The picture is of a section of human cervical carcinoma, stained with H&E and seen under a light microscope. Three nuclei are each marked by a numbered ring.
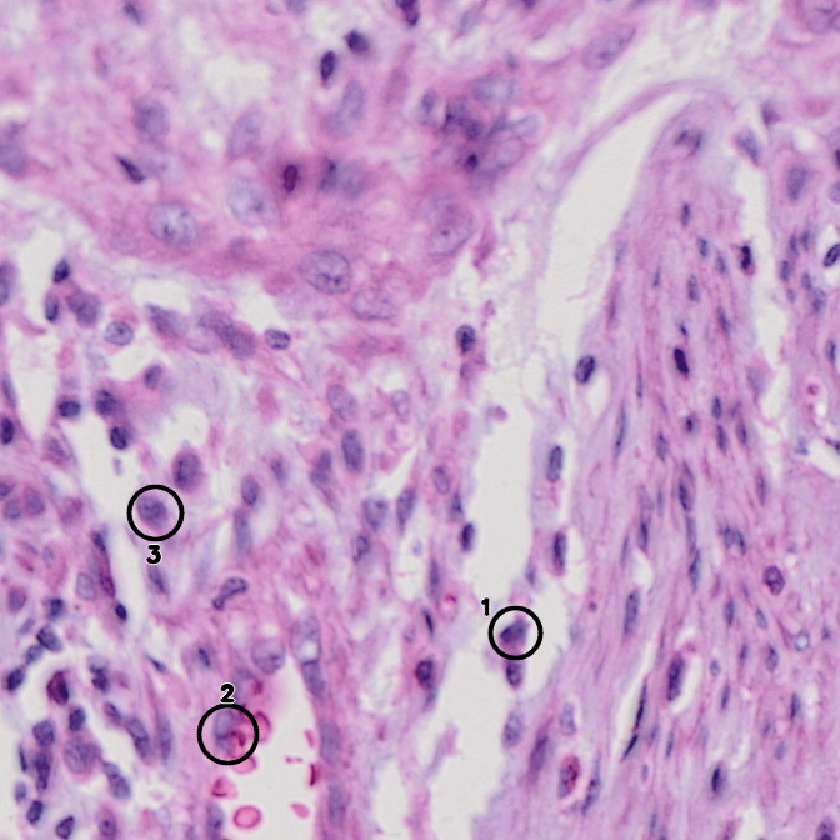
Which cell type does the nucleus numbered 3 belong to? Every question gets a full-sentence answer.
The marked nucleus 3 is that of a macrophage or monocyte.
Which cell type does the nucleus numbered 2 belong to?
Belonging to an endothelial cell is the nucleus that carries the number 2.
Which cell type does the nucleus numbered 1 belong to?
In the tissue shown, cell 1 is a lymphocyte.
